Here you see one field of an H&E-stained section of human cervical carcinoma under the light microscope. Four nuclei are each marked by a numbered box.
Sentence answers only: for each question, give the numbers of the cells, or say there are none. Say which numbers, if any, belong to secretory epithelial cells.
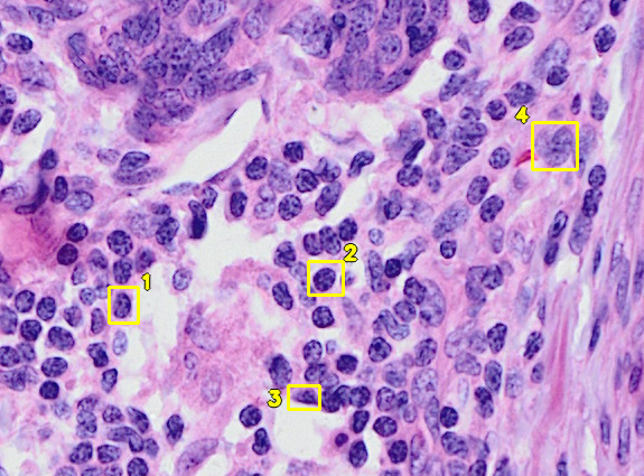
None of the cells bearing numbers are secretory epithelial cells.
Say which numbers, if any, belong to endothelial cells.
Mind that only cell 4 is an endothelial cell, none of the rest.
